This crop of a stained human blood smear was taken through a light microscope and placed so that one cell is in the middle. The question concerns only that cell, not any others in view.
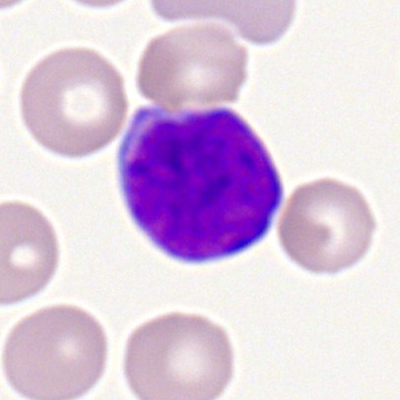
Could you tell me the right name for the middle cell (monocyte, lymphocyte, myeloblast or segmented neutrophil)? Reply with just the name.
myeloblast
